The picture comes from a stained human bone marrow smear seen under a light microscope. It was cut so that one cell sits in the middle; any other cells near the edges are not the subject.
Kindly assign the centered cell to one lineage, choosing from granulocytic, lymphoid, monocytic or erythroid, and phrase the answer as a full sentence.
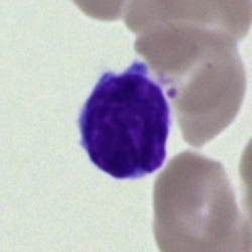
The middle cell of the crop belongs with the cells of the lymphoid lineage.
